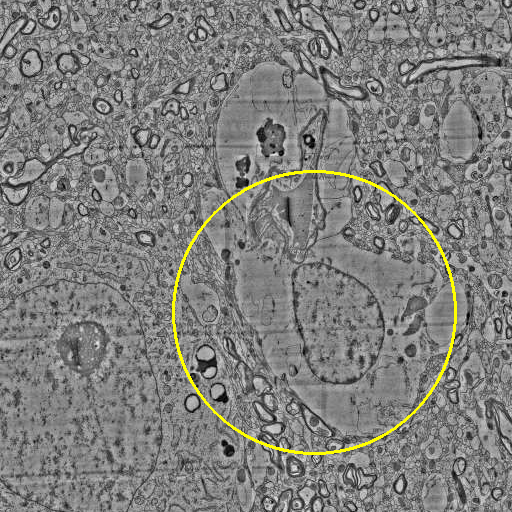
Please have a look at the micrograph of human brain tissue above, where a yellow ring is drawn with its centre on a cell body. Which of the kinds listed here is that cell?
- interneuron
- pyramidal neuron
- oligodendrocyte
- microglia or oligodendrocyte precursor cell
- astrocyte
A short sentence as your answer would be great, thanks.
At the centre of the ring sits an astrocyte.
